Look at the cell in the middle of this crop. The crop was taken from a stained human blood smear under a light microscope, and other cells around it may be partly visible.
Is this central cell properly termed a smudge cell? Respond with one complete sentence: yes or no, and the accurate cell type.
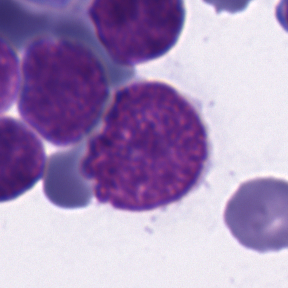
No, the central cell is designated a myeloblast and not a smudge cell.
